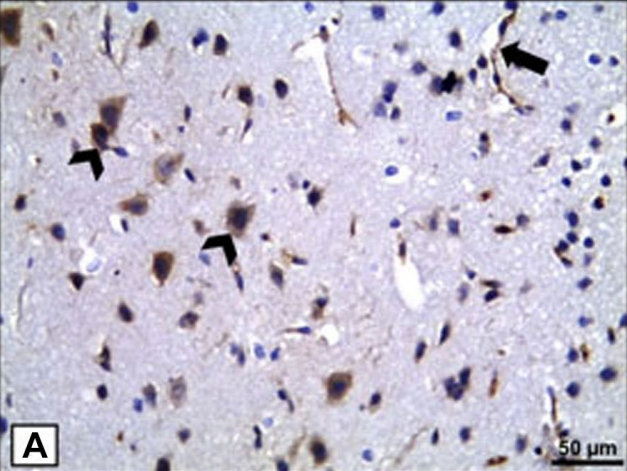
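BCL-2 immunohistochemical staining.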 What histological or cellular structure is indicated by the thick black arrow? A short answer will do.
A: Blood vessel endothelium.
